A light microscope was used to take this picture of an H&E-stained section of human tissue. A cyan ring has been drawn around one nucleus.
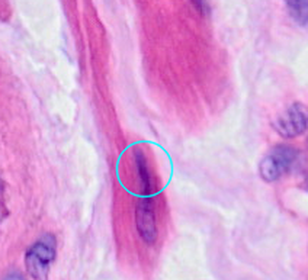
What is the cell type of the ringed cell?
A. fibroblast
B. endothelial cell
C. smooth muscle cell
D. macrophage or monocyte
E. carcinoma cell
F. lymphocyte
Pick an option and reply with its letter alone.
C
